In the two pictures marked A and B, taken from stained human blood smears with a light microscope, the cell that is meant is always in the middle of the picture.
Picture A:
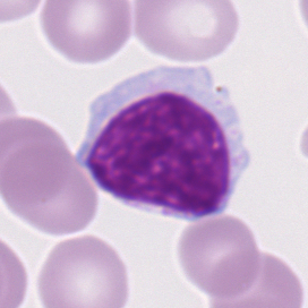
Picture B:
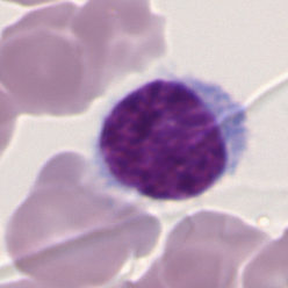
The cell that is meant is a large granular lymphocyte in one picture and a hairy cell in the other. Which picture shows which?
A: large granular lymphocyte
B: hairy cell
